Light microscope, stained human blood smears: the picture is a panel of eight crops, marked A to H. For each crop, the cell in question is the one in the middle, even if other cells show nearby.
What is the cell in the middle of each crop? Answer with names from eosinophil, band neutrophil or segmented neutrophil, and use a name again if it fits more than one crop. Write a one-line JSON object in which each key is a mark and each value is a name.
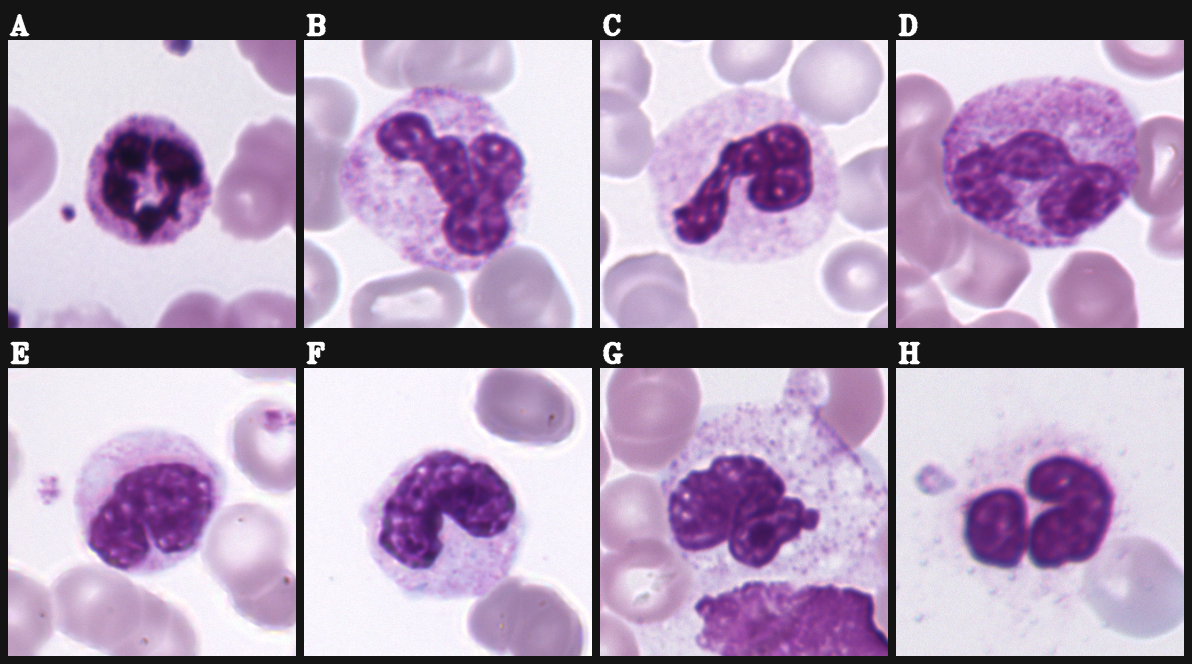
{"A": "segmented neutrophil", "B": "segmented neutrophil", "C": "segmented neutrophil", "D": "segmented neutrophil", "E": "band neutrophil", "F": "band neutrophil", "G": "segmented neutrophil", "H": "segmented neutrophil"}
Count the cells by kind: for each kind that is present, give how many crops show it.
segmented neutrophil: 6
band neutrophil: 2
